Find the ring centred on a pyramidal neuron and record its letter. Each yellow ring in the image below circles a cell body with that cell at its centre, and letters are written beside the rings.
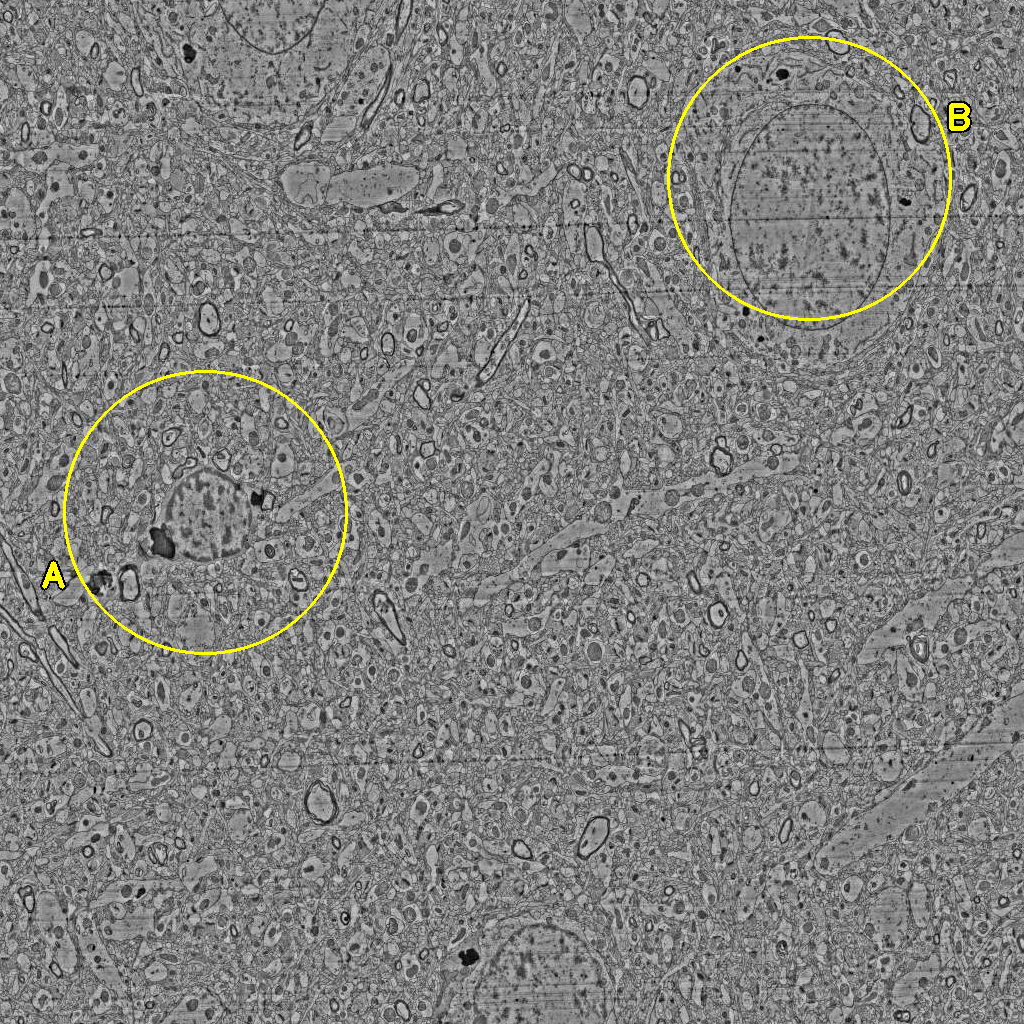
B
